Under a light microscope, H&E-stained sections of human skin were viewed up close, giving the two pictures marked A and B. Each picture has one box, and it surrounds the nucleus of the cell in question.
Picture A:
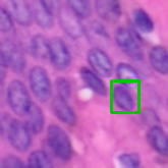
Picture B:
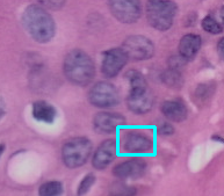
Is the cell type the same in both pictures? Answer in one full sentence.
Yes, they are the same type: both are basal keratinocytes.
